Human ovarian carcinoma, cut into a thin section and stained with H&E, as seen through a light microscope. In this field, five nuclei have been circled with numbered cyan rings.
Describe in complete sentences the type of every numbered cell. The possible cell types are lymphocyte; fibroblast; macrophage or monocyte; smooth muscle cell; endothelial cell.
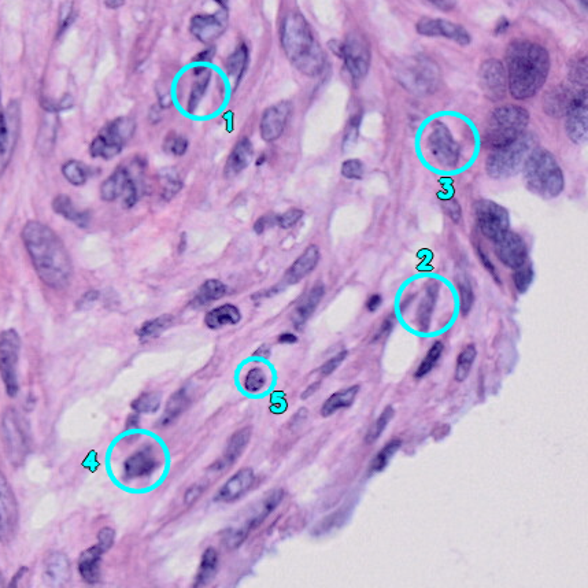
Cell 1 is a fibroblast, cell 2 is a fibroblast, cell 3 is a macrophage or monocyte, cell 4 is a macrophage or monocyte and cell 5 is a lymphocyte.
